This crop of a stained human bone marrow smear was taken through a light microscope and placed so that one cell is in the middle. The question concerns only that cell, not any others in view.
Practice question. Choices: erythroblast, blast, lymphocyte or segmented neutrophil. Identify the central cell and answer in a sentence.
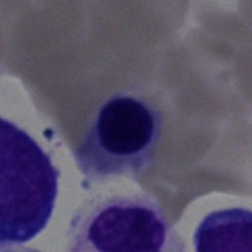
What sits at the centre of this crop is an erythroblast.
